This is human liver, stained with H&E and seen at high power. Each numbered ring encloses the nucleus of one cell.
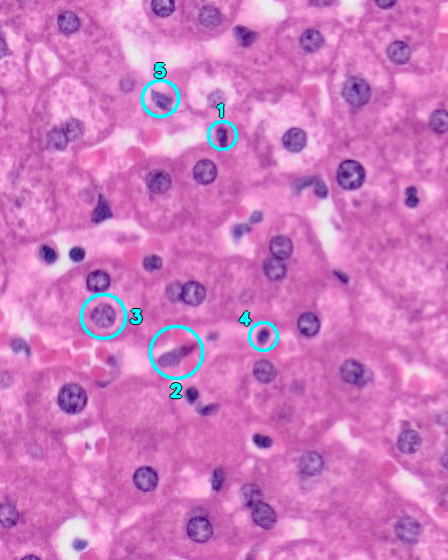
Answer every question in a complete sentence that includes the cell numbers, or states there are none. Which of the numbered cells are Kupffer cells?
Cell 2 is a Kupffer cell, and that holds for no other numbered cell.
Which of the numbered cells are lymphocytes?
A single numbered cell, cell 4, is a lymphocyte.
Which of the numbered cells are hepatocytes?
Only one of the numbered nuclei, number 3, belongs to a hepatocyte.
